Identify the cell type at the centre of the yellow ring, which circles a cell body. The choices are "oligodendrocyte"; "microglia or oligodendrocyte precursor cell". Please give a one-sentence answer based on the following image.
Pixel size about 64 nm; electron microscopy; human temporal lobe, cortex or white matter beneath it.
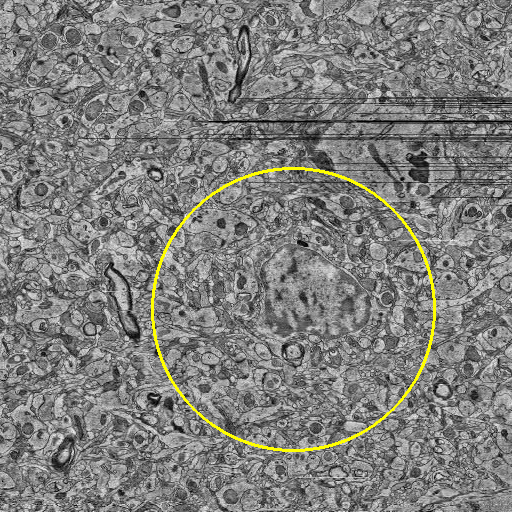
The cell marked by the ring is a microglial cell or oligodendrocyte precursor cell.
